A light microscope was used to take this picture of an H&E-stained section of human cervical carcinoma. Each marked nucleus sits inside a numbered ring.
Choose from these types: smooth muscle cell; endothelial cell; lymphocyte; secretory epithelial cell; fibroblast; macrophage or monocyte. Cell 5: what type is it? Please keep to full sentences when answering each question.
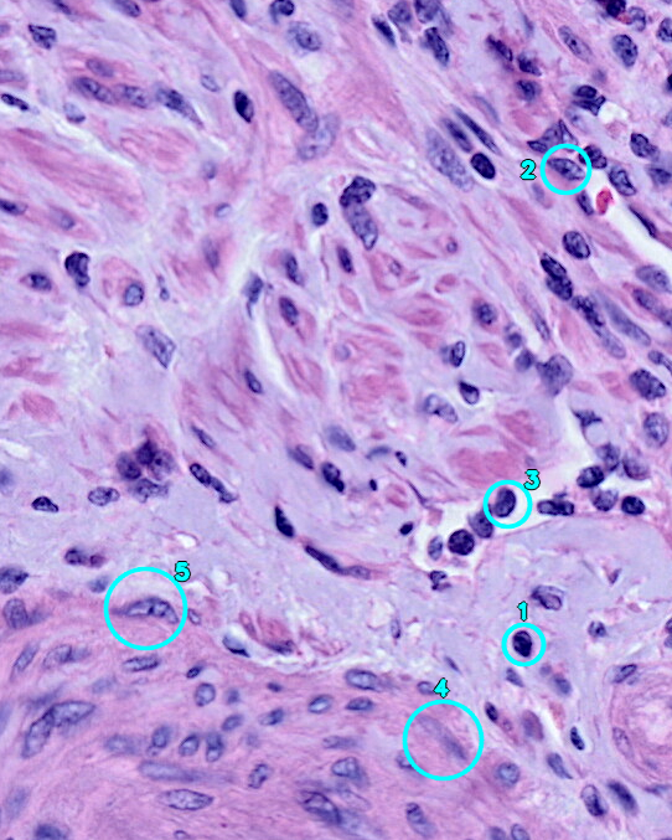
The cell to which the number 5 is assigned is a smooth muscle cell.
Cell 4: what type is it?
The correct label for cell 4 is a smooth muscle cell.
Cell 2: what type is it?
The cell numbered 2 represents an endothelial cell.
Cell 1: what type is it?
It is as a lymphocyte that the cell numbered 1 is identified.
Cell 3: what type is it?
What the number 3 marks in this field is a lymphocyte.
